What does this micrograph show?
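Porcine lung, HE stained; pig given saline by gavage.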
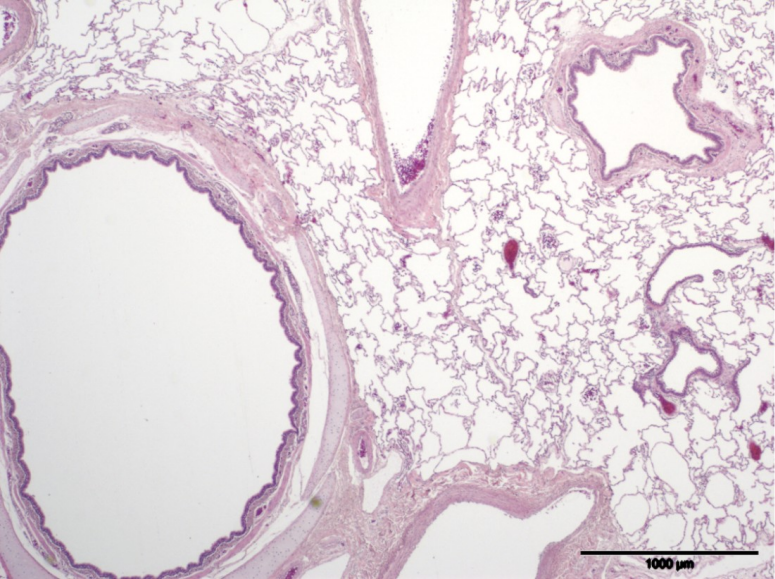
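At the left a large airway is lined by a continuous purple epithelium, surrounded by pale pink connective tissue and cartilage. Smaller airways with folded epithelial linings and thin-walled blood vessels lie scattered among the alveoli. No blood or fluid fills the air spaces.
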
